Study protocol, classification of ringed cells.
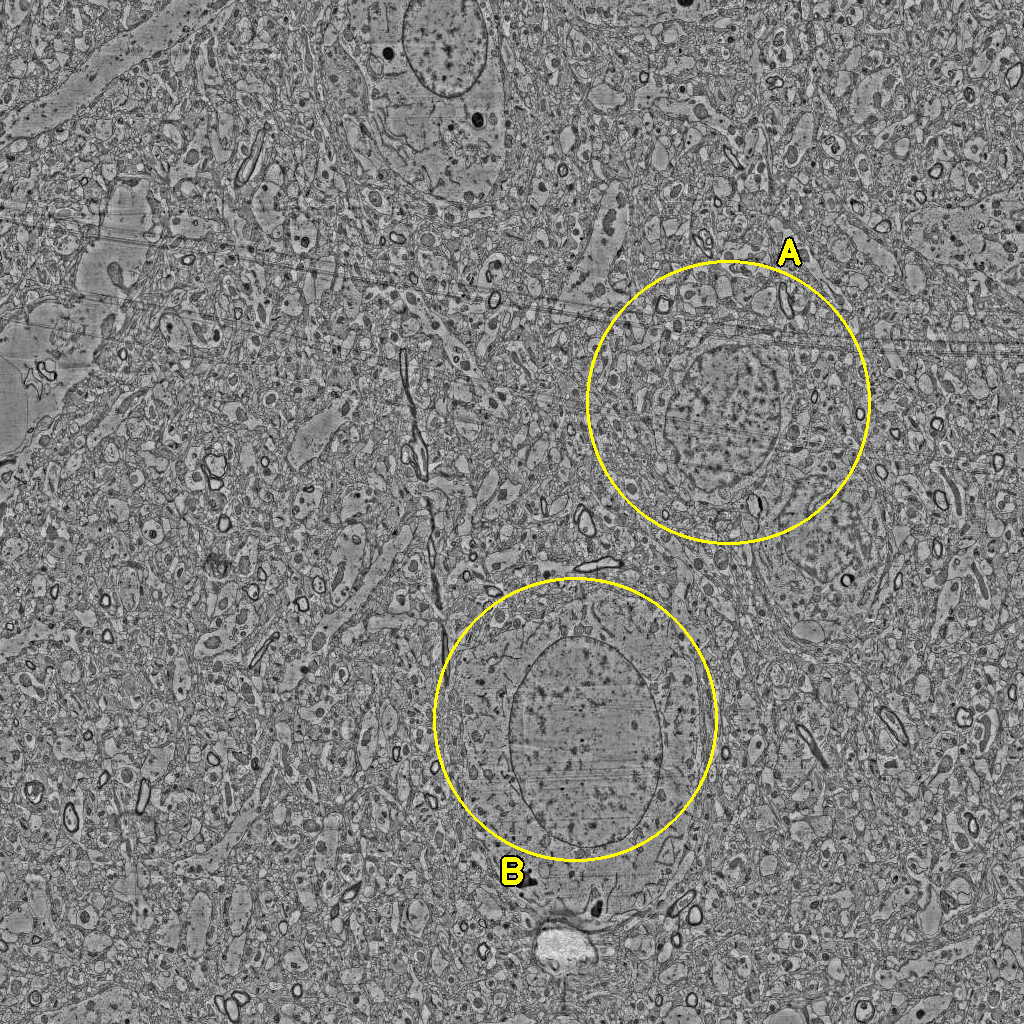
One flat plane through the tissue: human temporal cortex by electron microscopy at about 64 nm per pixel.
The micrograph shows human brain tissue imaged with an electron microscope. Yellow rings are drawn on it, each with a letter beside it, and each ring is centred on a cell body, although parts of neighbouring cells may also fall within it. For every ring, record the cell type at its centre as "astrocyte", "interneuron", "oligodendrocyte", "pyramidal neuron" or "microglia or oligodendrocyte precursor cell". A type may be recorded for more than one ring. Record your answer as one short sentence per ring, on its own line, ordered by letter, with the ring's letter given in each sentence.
Ring A has been centred on an interneuron.
Ring B has been centred on a pyramidal neuron.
